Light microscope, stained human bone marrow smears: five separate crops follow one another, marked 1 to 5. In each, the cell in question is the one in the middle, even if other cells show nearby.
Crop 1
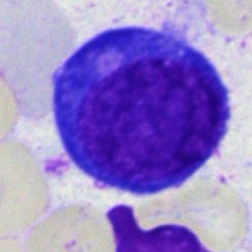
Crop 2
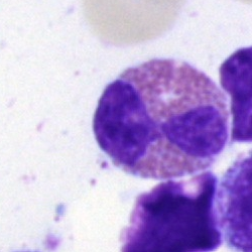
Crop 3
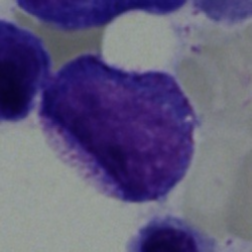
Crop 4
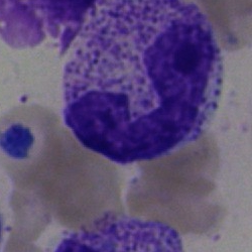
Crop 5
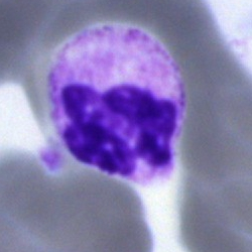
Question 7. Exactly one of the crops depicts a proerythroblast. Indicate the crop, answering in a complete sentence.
Crop 1 is where a proerythroblast is to be found.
